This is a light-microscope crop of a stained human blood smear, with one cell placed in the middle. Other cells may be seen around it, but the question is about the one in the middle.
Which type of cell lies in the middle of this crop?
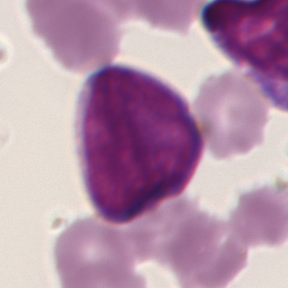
myeloblast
